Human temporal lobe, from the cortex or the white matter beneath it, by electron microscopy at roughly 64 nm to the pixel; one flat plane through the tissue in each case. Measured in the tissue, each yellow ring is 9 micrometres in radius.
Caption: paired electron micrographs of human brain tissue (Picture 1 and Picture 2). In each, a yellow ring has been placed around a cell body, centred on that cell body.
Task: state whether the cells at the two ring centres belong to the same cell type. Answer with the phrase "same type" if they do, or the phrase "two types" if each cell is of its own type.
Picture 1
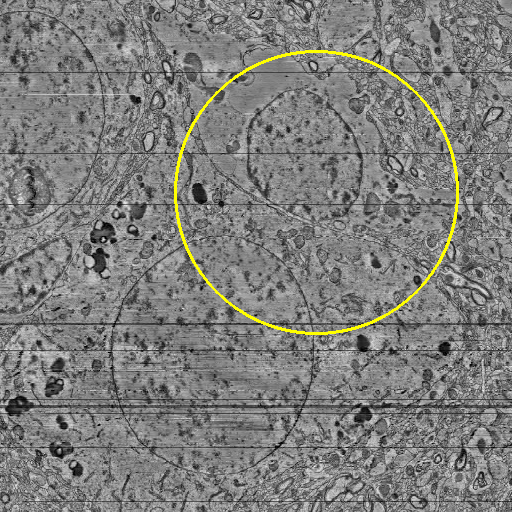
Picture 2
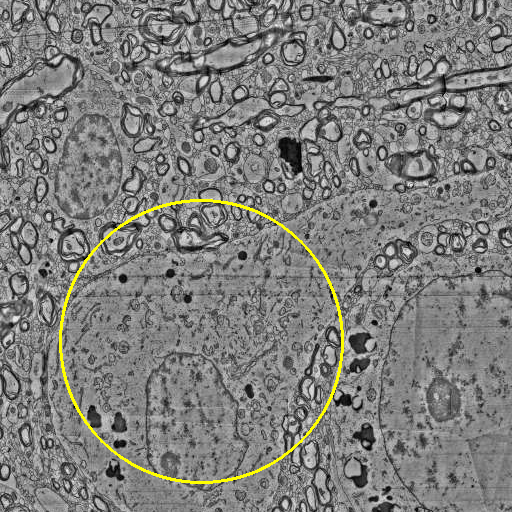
two types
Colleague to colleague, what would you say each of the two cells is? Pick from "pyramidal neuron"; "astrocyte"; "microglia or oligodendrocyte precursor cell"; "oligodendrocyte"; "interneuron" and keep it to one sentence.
The cell in the first picture is an astrocyte; the second picture's cell is a pyramidal neuron.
